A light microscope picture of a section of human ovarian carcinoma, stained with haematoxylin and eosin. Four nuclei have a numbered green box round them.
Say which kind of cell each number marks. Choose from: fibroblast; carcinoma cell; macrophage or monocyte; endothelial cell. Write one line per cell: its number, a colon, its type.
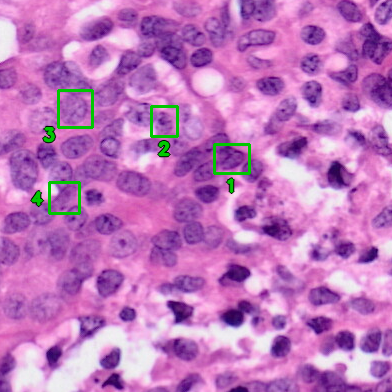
1: carcinoma cell
2: macrophage or monocyte
3: carcinoma cell
4: carcinoma cell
